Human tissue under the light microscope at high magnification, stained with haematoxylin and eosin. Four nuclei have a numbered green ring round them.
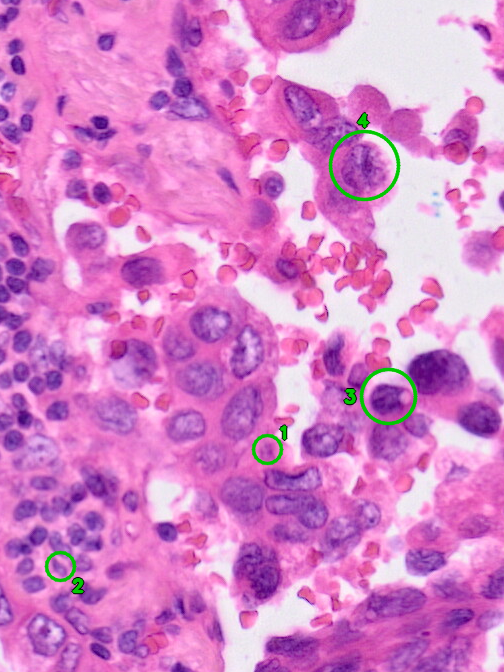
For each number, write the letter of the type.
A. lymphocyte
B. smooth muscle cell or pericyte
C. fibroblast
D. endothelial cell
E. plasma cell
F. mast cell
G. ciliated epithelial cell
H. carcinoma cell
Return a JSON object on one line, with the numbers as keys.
{"1": "H", "2": "A", "3": "H", "4": "H"}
